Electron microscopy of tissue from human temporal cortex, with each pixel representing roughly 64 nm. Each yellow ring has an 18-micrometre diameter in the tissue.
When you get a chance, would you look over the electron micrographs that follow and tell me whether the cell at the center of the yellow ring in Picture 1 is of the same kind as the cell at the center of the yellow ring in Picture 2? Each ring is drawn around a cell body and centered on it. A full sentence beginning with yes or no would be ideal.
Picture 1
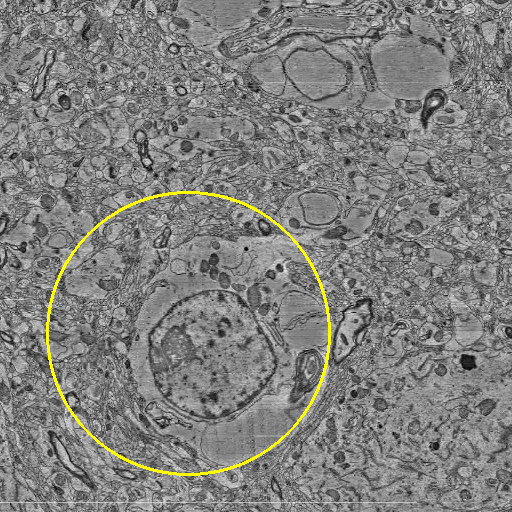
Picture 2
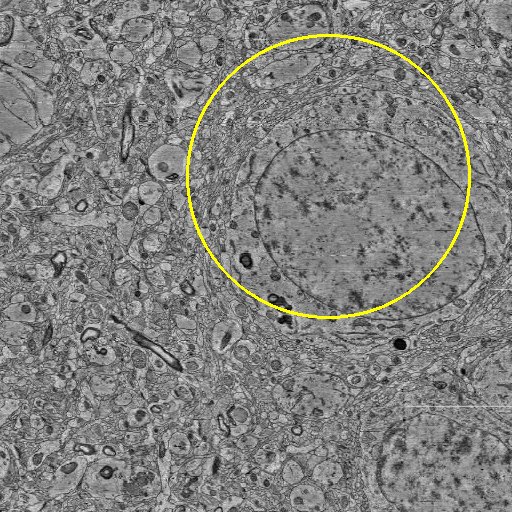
No, they are two kinds of cell.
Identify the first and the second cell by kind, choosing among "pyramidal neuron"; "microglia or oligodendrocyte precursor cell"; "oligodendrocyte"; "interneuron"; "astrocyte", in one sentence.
The one in the first picture is an astrocyte, while the one in the second is a pyramidal neuron.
